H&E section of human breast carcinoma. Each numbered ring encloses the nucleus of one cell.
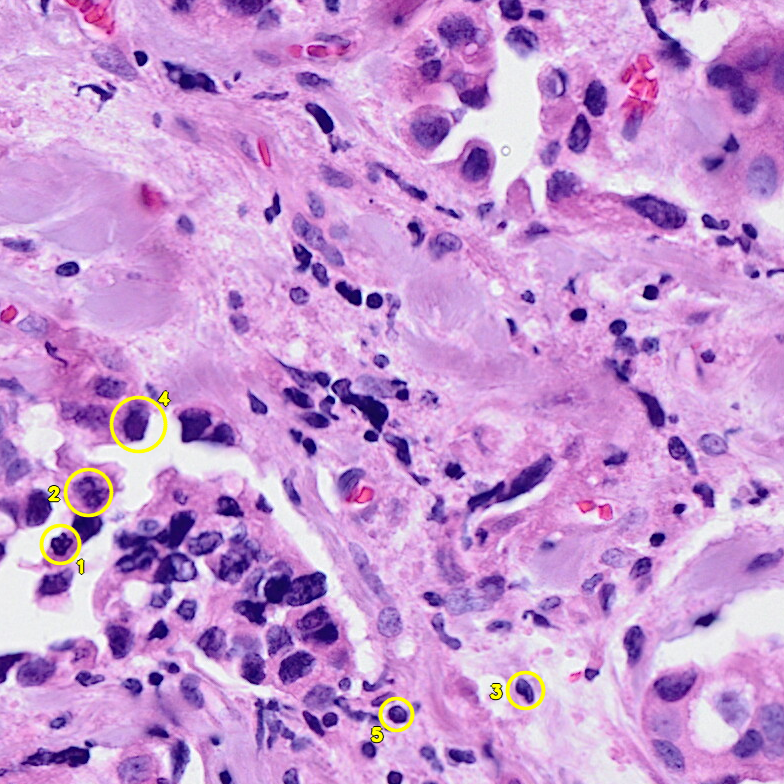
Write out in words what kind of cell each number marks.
Cell 1 is a carcinoma cell, cell 2 is a carcinoma cell, cell 3 is a lymphocyte, cell 4 is a carcinoma cell and cell 5 is a lymphocyte.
